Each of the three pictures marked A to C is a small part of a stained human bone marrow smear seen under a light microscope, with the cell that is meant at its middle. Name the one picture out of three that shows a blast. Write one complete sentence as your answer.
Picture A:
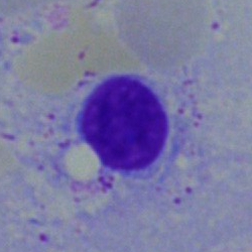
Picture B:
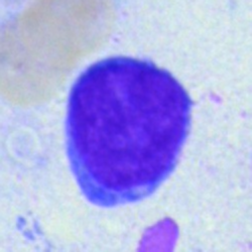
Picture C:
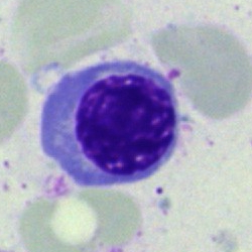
It is picture B that shows the blast.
